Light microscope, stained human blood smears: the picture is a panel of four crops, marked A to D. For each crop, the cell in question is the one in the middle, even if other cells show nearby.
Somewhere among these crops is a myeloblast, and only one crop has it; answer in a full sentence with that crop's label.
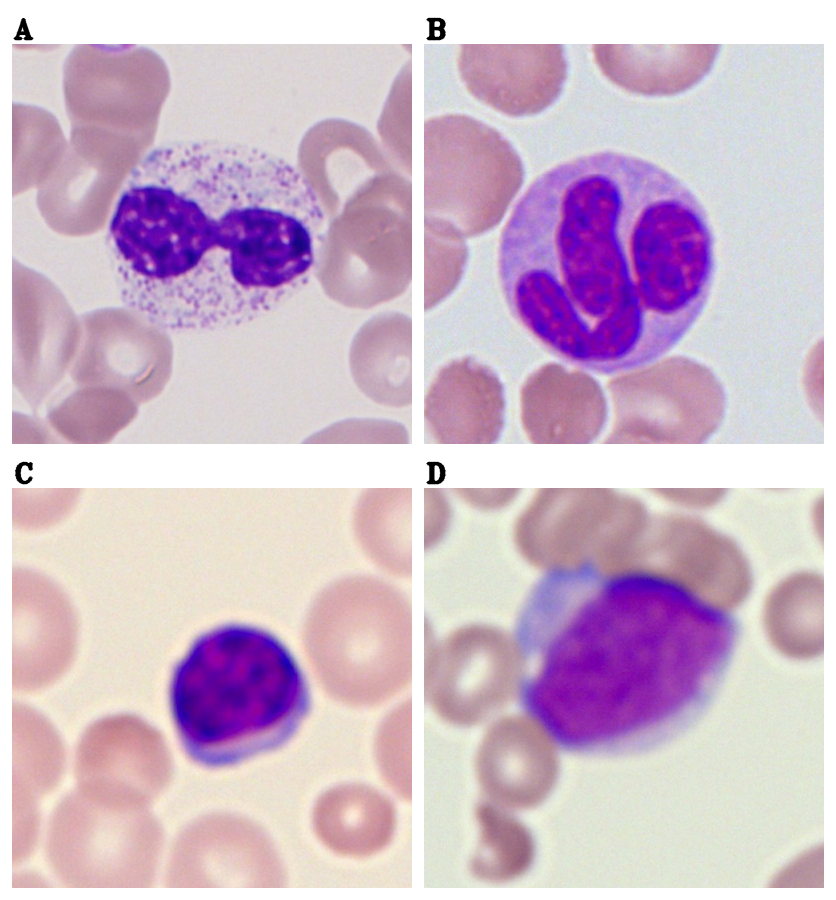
The crop bearing a myeloblast is crop D.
